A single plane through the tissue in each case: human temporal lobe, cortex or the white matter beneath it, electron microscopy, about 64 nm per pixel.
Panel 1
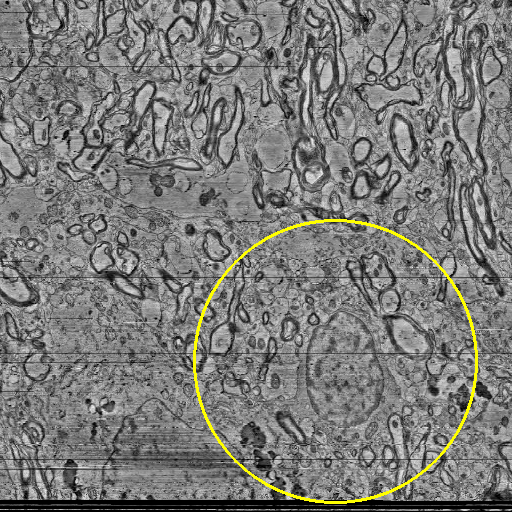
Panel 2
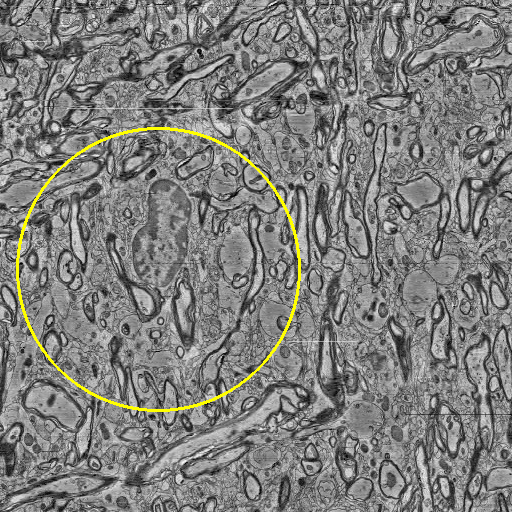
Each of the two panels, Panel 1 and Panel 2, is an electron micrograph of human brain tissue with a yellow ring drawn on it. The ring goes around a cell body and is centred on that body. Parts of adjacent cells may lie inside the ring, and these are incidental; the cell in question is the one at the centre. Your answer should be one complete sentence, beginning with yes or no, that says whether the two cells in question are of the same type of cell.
No, the two cells are of two types.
